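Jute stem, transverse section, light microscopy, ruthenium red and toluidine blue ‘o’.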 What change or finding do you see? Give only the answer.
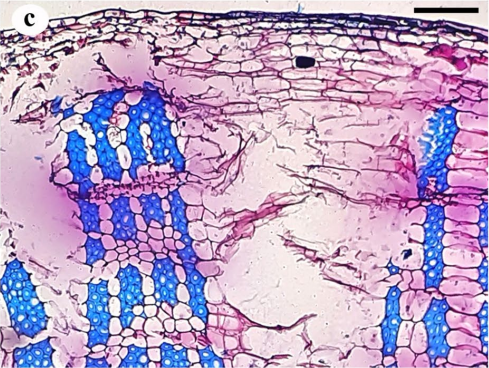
Distorted epidermis and parenchyma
